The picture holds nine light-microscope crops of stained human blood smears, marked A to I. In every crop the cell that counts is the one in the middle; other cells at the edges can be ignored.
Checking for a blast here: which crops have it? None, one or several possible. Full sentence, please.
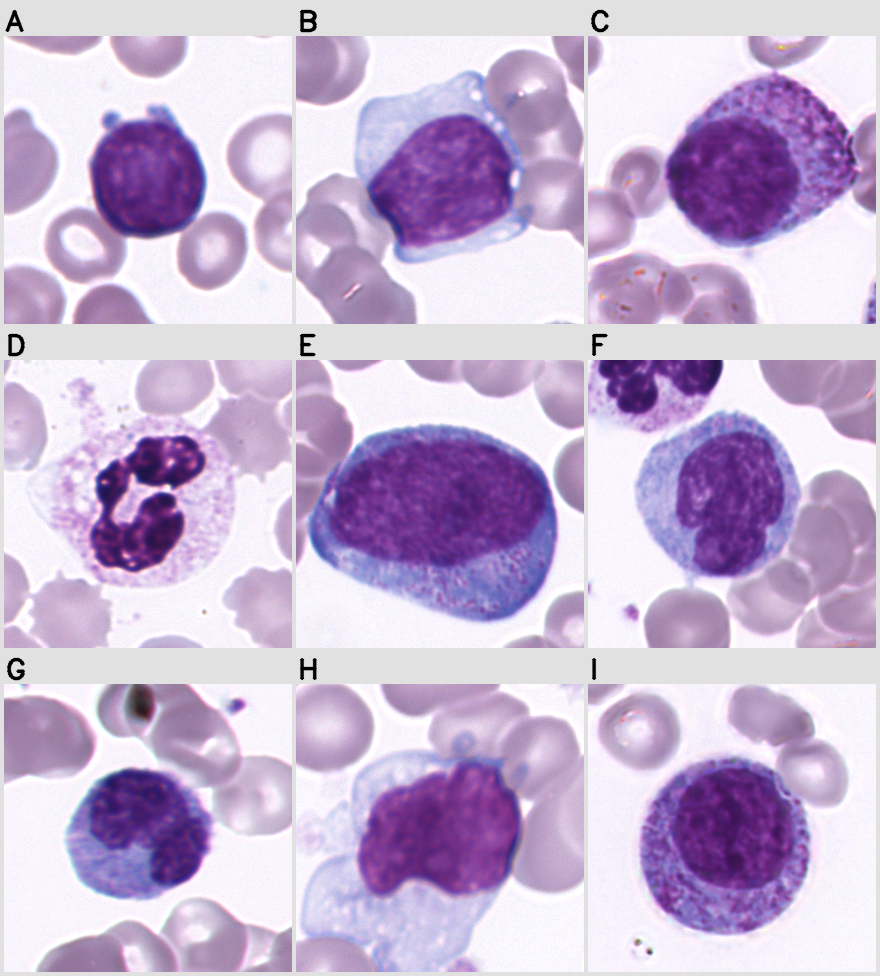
Shown at the centre of crops A and B are blasts.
